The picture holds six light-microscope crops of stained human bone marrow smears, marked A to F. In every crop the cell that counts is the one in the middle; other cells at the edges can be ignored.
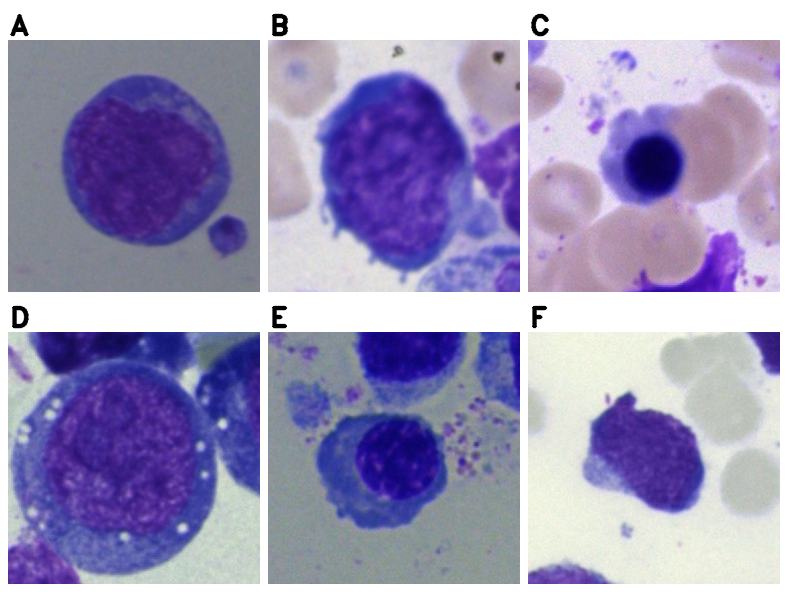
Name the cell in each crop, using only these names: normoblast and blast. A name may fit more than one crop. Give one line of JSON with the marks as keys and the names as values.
{"A": "blast", "B": "blast", "C": "normoblast", "D": "blast", "E": "normoblast", "F": "blast"}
